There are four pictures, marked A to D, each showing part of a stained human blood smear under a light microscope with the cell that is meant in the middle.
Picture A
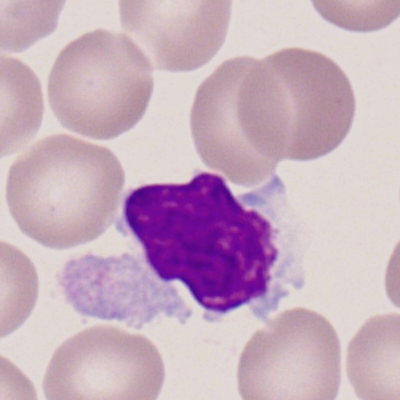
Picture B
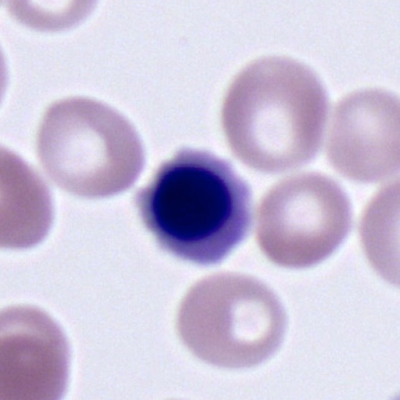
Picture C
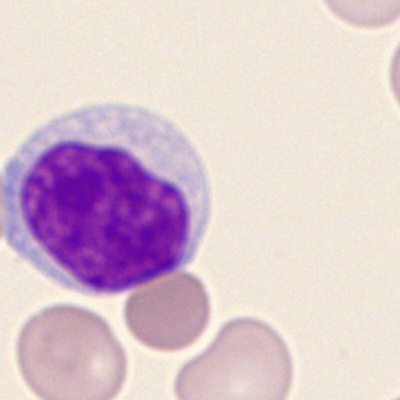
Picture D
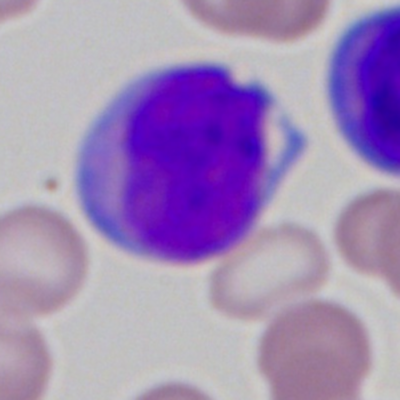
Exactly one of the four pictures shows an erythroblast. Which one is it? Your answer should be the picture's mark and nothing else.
B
